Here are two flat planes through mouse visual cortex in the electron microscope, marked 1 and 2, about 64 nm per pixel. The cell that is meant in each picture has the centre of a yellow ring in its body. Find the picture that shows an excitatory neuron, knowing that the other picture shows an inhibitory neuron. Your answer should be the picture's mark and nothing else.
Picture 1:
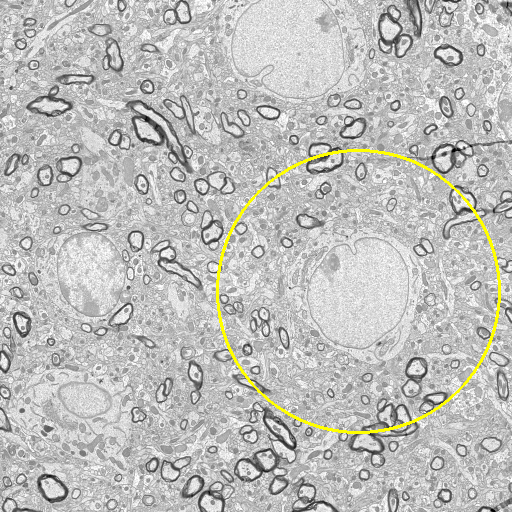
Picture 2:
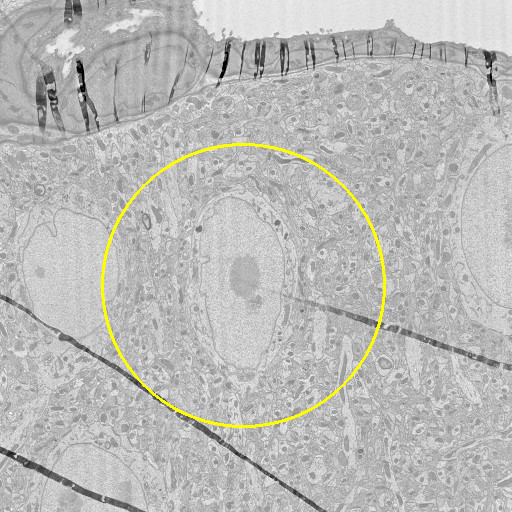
1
